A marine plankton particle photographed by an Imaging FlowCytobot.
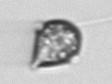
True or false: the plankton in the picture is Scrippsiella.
True.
